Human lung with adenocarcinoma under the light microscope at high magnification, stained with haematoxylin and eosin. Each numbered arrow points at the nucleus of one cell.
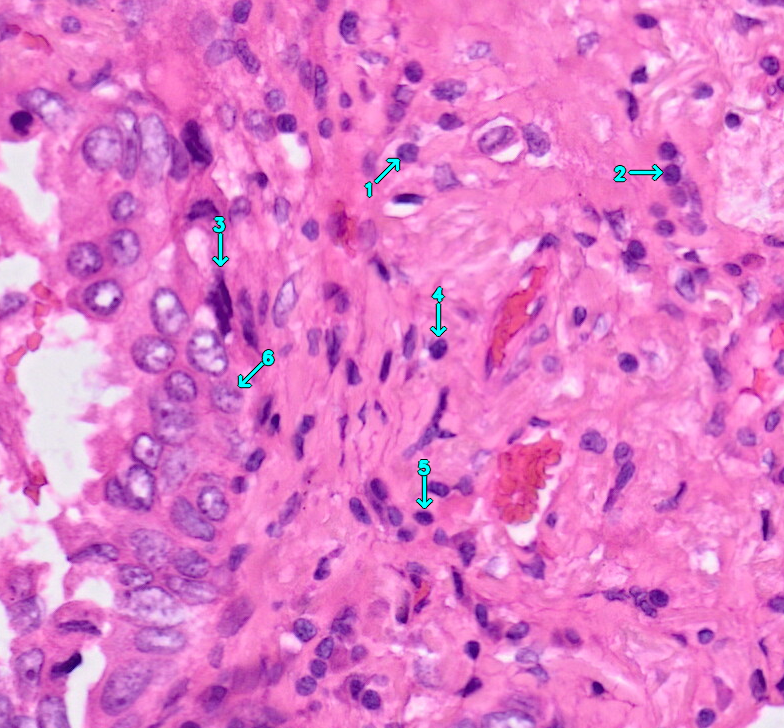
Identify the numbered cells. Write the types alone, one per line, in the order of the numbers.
lymphocyte
lymphocyte
carcinoma cell
lymphocyte
lymphocyte
carcinoma cell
